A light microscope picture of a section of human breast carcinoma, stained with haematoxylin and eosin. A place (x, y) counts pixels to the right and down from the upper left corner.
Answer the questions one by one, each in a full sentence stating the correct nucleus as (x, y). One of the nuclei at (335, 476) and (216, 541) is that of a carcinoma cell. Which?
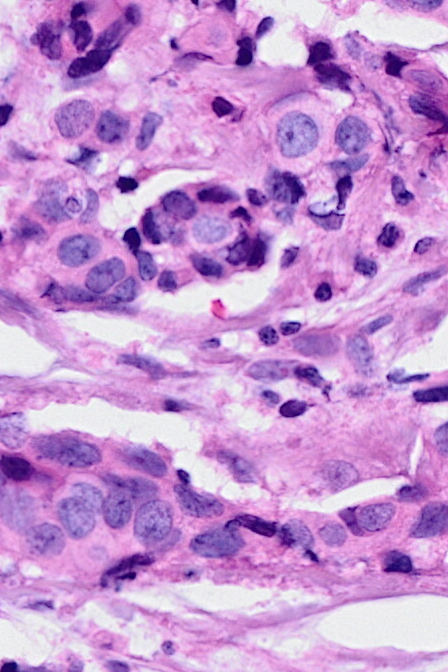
The nucleus at (216, 541) is the one that belongs to a carcinoma cell.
